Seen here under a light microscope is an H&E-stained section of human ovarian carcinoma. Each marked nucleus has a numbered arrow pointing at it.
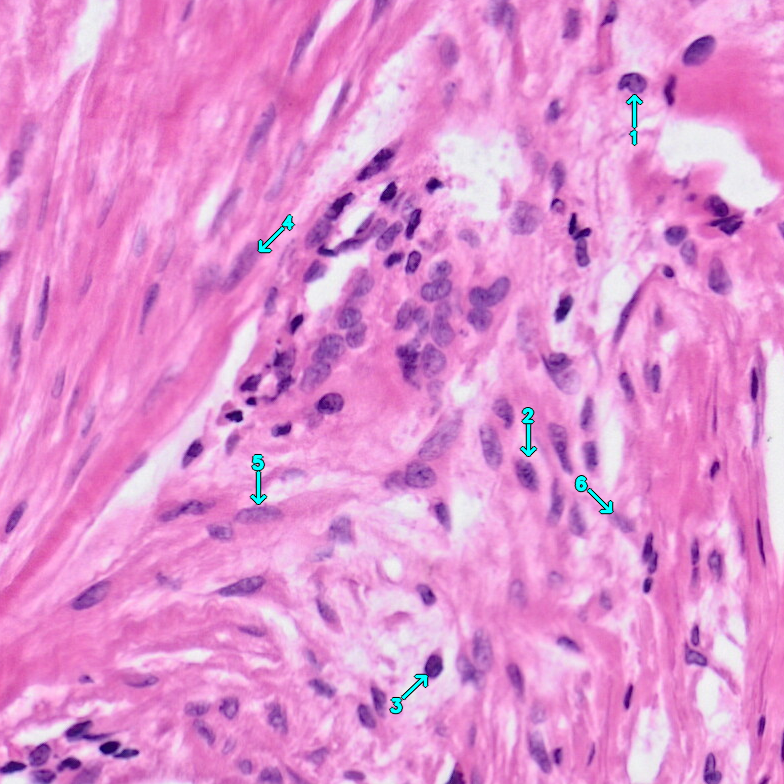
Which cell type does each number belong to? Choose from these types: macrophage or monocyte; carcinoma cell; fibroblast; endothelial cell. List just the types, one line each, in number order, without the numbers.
macrophage or monocyte
fibroblast
macrophage or monocyte
fibroblast
fibroblast
fibroblast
